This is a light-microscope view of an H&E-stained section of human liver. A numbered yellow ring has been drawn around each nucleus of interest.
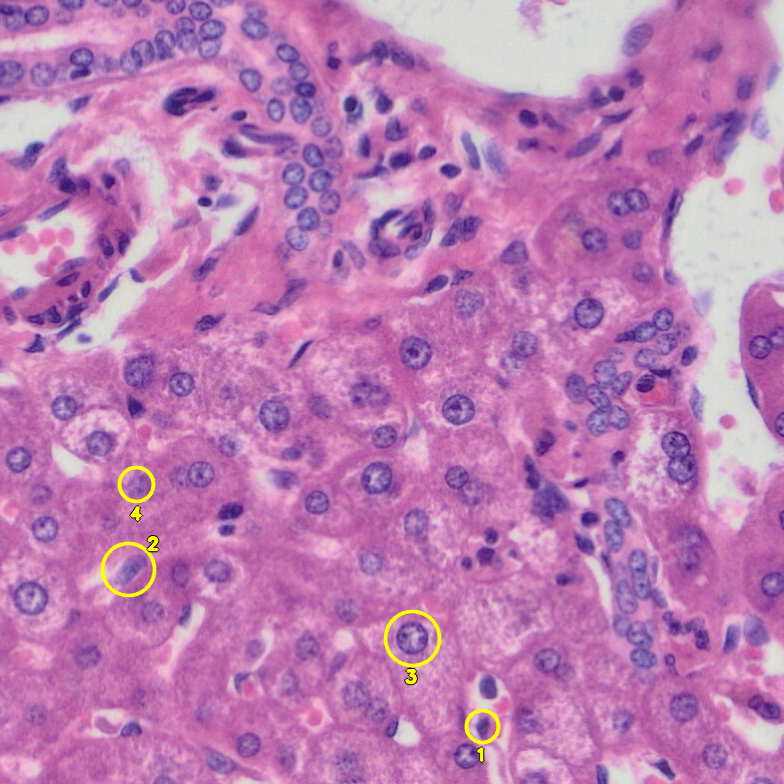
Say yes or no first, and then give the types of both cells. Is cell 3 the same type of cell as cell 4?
Yes, both are hepatocytes.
